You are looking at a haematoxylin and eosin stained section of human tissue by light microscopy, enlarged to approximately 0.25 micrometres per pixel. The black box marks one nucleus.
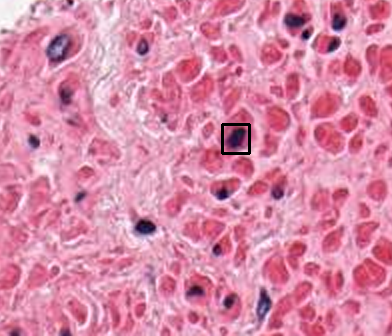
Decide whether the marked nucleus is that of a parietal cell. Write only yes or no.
no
